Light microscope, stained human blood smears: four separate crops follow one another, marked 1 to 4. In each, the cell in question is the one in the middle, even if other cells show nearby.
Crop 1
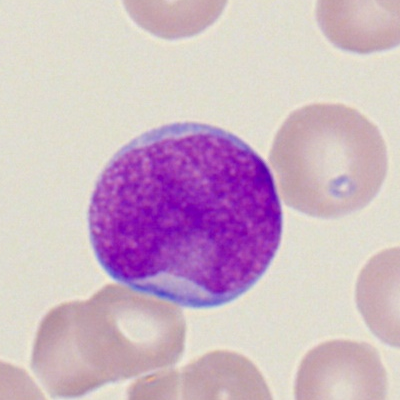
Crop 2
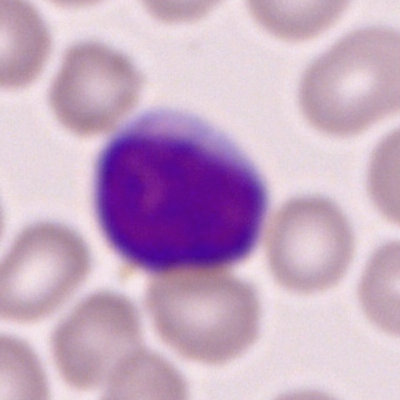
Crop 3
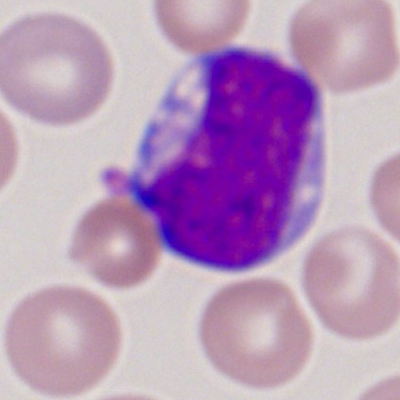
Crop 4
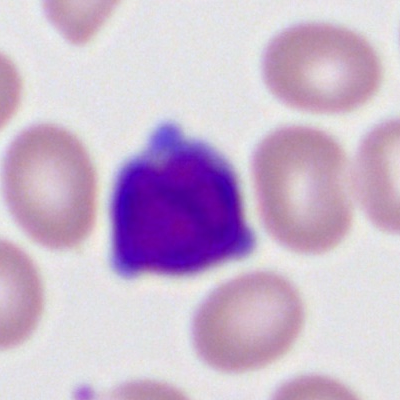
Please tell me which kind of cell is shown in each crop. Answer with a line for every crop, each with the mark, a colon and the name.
1: myeloblast
2: myeloblast
3: myeloblast
4: lymphocyte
